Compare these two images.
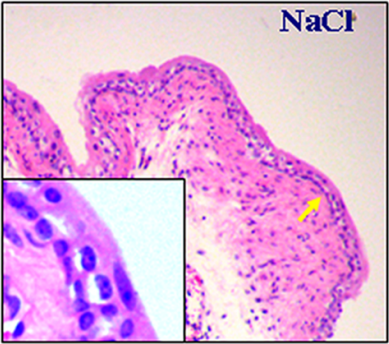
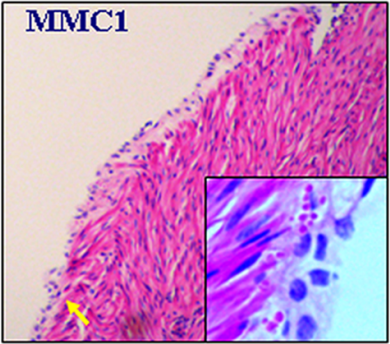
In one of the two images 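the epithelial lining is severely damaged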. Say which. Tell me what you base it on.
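The second image. First image: a continuous, multilayered cellular lining covers the folded surface. Second image: the surface lacks an intact lining, with only scattered loose cells over the pink fibrous wall.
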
